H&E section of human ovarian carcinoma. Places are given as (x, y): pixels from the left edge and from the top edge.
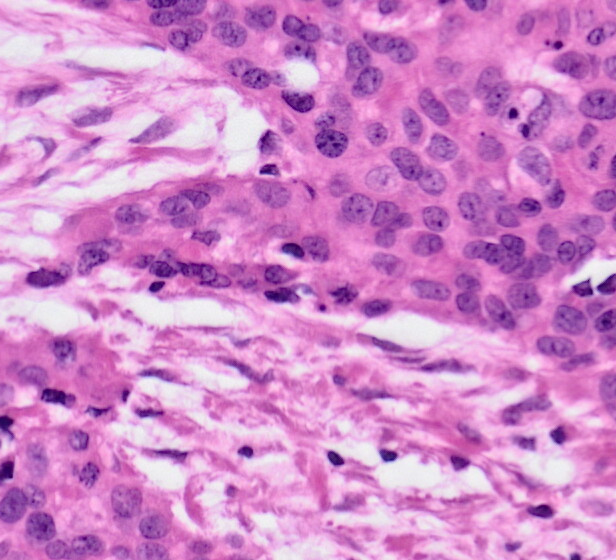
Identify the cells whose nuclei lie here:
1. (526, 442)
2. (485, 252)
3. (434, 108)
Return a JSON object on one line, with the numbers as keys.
{"1": "fibroblast", "2": "carcinoma cell", "3": "carcinoma cell"}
